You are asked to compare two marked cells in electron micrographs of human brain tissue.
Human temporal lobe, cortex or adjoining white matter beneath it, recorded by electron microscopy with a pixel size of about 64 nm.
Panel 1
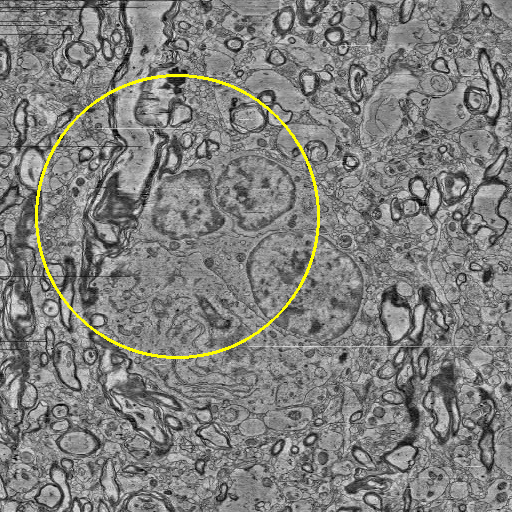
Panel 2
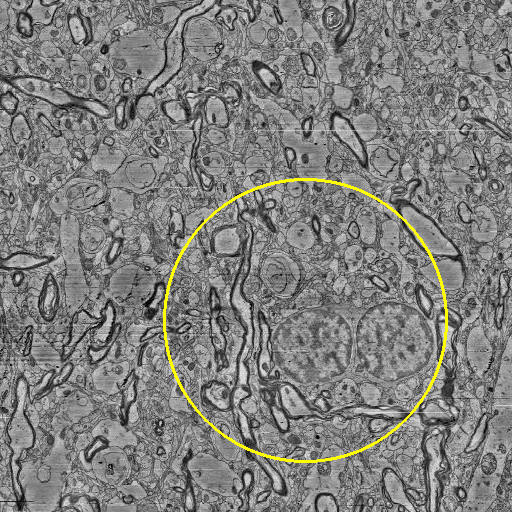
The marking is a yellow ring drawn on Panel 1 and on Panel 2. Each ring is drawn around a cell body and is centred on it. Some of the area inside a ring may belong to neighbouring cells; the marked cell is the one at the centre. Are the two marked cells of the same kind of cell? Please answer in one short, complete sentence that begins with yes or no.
Yes, the two marked cells are of the same kind.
